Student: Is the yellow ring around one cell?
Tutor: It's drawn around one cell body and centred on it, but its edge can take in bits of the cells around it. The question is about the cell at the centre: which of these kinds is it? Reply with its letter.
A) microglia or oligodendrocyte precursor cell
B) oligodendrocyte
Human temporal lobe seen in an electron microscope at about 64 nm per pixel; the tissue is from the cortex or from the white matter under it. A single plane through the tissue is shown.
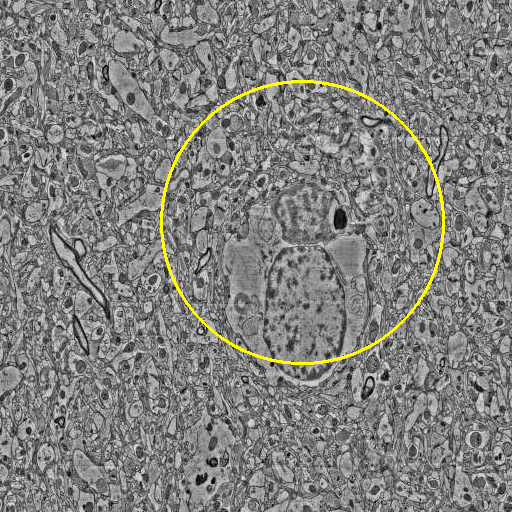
B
